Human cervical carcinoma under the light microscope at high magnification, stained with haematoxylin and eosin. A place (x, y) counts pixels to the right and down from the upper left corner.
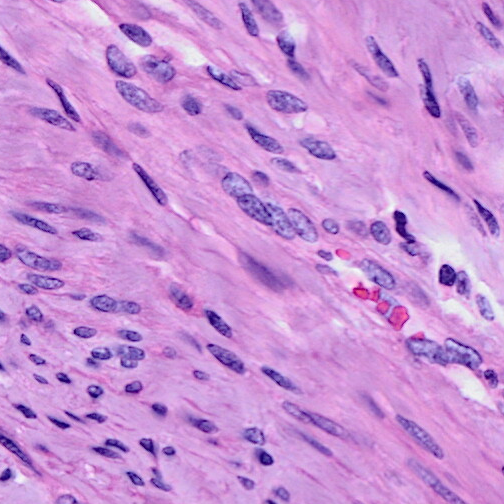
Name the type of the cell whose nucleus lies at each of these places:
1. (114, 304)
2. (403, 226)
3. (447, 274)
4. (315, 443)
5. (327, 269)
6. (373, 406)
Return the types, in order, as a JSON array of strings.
["smooth muscle cell", "lymphocyte", "lymphocyte", "smooth muscle cell", "endothelial cell", "smooth muscle cell"]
